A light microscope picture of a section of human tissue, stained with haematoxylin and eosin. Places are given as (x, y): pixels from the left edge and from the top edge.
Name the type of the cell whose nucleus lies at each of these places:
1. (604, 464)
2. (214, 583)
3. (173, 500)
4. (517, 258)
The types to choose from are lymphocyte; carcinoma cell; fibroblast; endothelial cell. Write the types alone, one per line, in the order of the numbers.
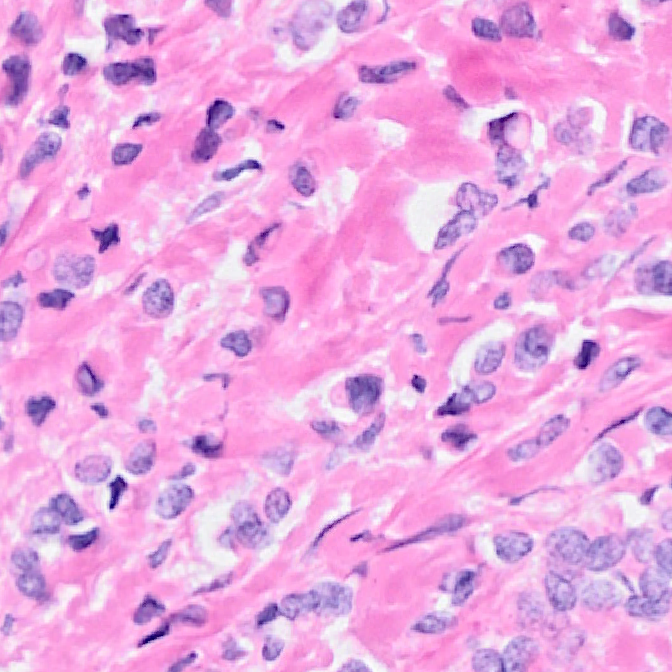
carcinoma cell
fibroblast
carcinoma cell
carcinoma cell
